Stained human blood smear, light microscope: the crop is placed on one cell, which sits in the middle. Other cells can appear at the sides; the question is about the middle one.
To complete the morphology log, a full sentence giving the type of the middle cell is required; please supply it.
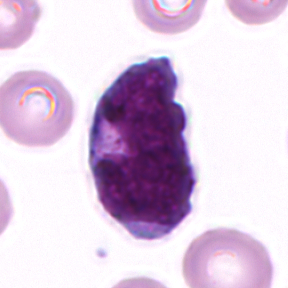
The target cell in the middle of the crop is an atypical promyelocyte.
